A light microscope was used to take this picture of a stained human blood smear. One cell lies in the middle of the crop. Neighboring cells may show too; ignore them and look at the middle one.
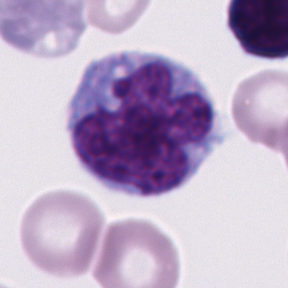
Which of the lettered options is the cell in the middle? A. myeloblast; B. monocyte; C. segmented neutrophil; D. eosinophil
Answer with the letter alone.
B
